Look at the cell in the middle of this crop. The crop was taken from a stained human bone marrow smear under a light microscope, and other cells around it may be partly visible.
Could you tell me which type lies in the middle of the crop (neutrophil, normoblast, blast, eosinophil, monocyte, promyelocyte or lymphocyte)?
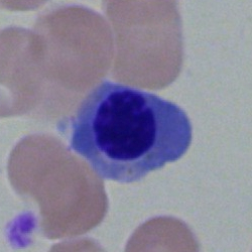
normoblast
